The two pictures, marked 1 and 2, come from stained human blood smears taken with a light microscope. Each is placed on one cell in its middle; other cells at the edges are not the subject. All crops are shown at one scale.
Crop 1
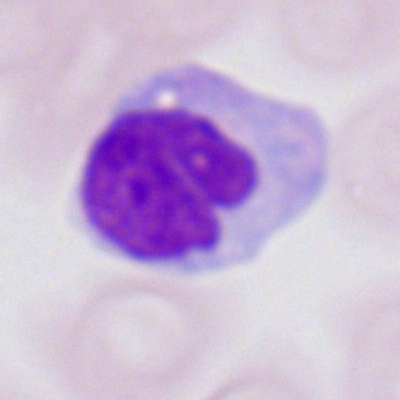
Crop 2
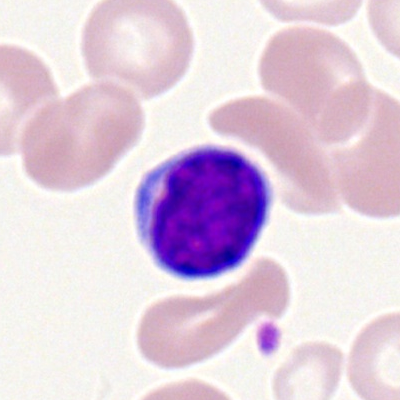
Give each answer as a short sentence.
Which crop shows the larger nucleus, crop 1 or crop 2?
Crop 1 shows the larger nucleus; it covers about 2 times the area of the nucleus in crop 2.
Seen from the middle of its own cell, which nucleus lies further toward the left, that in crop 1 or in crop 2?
Seen within its cell, the nucleus in crop 1 lies further toward the left.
